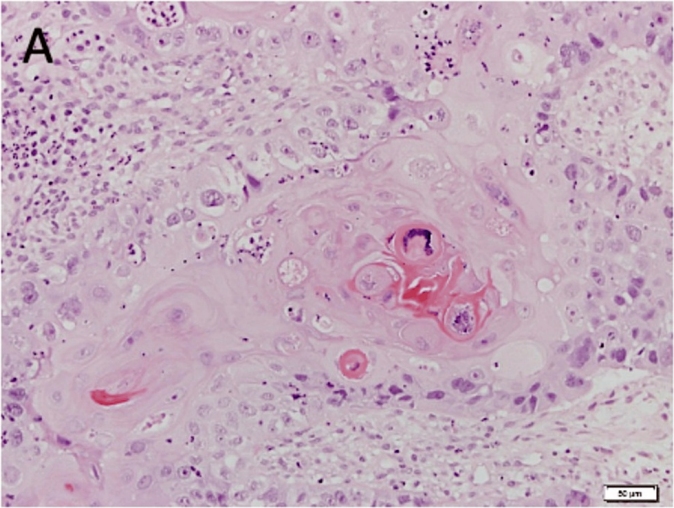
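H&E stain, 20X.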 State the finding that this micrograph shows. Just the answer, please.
Squamous differentiation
